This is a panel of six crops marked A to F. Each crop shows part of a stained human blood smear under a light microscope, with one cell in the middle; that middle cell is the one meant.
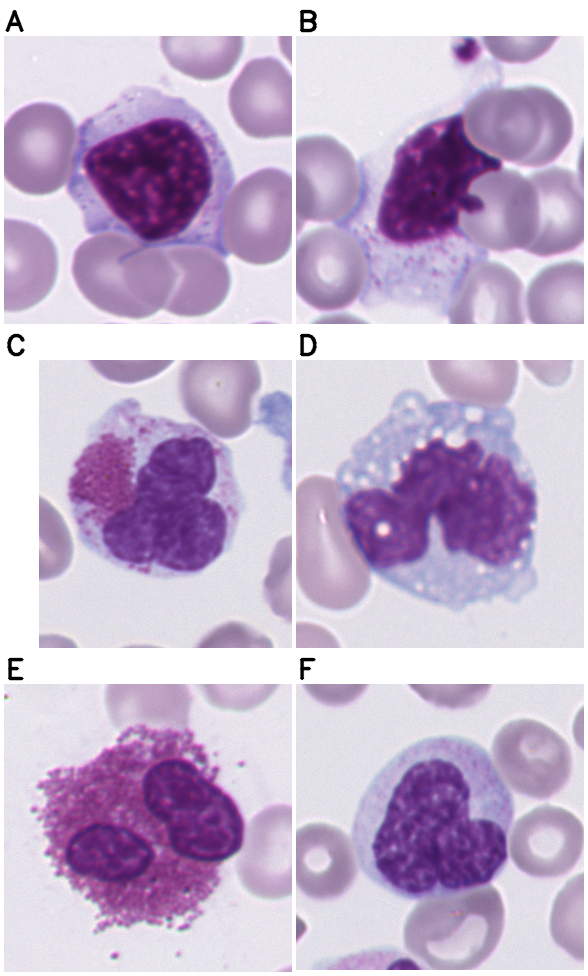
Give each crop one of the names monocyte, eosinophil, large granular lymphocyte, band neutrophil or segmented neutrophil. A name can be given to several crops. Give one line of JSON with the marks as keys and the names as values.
{"A": "large granular lymphocyte", "B": "large granular lymphocyte", "C": "eosinophil", "D": "monocyte", "E": "eosinophil", "F": "band neutrophil"}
